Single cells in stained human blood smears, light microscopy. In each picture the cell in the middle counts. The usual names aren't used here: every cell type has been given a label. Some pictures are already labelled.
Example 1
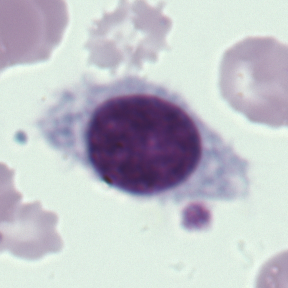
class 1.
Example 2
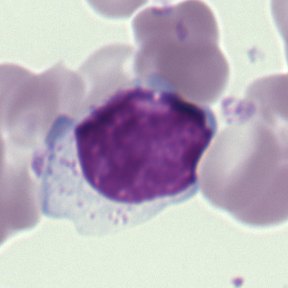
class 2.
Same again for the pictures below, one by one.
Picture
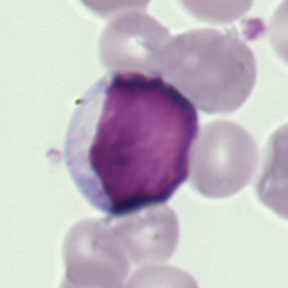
class 2.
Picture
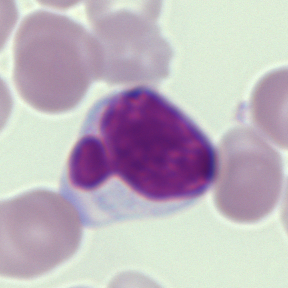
class 2.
